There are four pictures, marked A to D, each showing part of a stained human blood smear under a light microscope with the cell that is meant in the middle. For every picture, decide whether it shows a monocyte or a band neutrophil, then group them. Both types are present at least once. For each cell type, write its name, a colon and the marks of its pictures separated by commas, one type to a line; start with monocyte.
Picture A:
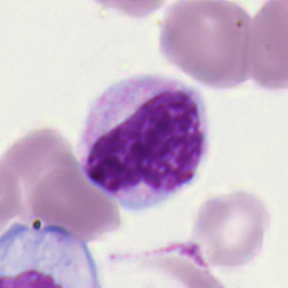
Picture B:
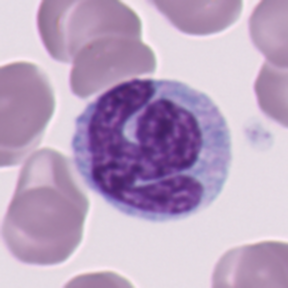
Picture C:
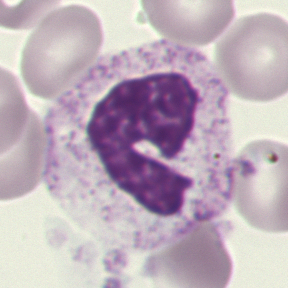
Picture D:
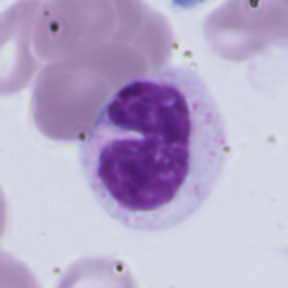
monocyte: B
band neutrophil: A, C, D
